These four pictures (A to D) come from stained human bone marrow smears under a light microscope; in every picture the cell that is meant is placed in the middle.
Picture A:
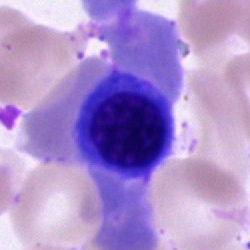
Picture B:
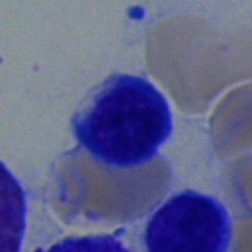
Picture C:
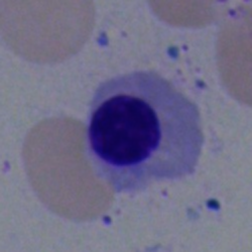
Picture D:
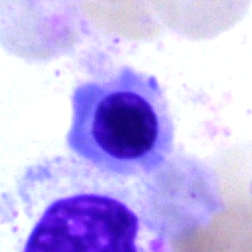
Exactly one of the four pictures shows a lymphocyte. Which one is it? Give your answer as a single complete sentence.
The lymphocyte is the one in picture B.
